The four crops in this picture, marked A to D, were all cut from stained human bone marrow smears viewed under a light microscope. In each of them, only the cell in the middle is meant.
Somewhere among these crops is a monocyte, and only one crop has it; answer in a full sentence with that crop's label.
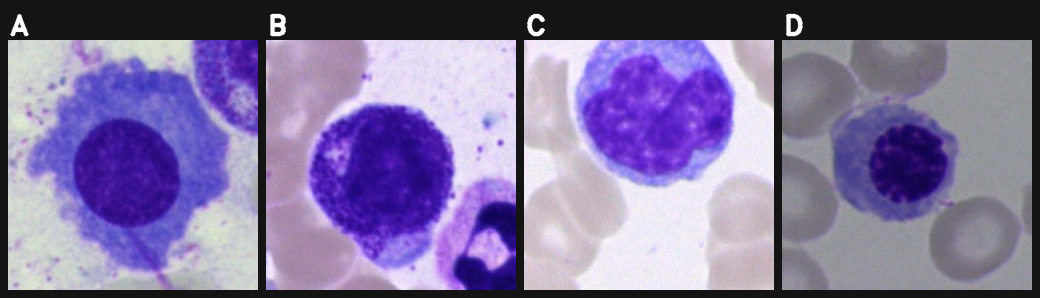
Crop C is identified as the crop showing a monocyte.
